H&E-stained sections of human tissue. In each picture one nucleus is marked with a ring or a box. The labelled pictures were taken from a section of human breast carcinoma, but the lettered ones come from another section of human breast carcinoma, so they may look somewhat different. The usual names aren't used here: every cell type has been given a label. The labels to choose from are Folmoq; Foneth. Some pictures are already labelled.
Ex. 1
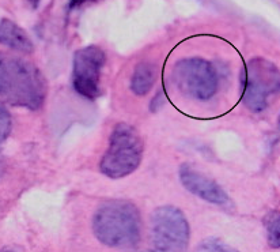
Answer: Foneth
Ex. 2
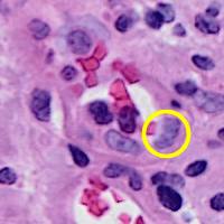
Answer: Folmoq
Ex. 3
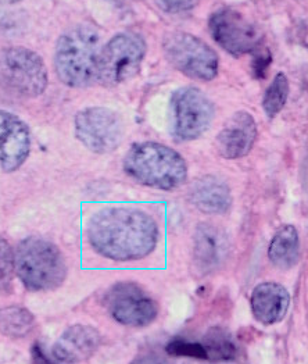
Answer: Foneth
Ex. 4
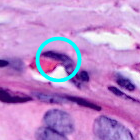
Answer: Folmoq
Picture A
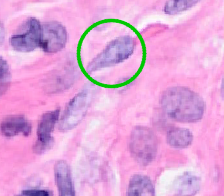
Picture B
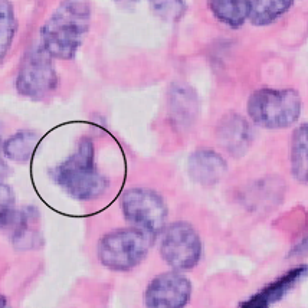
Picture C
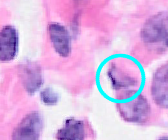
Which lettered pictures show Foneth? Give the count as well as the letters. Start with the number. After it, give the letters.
Count: 2 (B, C)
